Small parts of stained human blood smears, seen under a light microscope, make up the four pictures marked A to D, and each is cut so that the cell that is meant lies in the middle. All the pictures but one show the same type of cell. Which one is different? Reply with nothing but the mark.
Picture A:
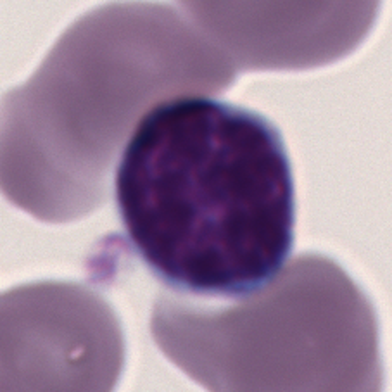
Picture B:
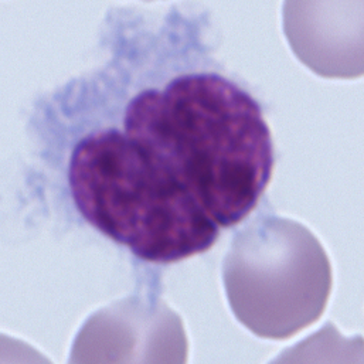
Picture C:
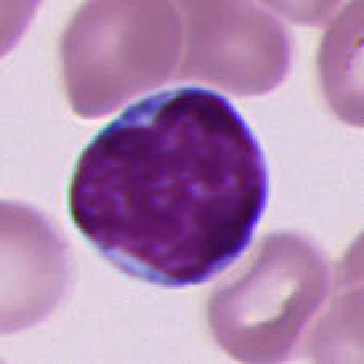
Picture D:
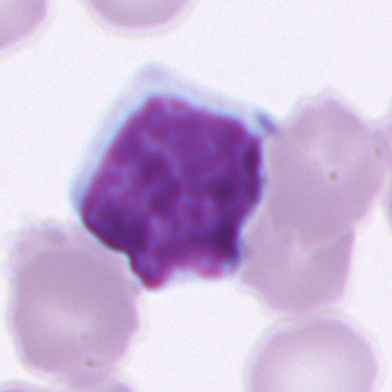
B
